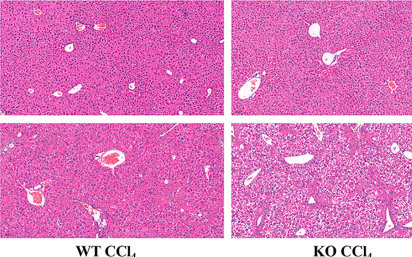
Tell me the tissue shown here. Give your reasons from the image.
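Liver. Scattered round vessel lumens lie among the cell plates.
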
